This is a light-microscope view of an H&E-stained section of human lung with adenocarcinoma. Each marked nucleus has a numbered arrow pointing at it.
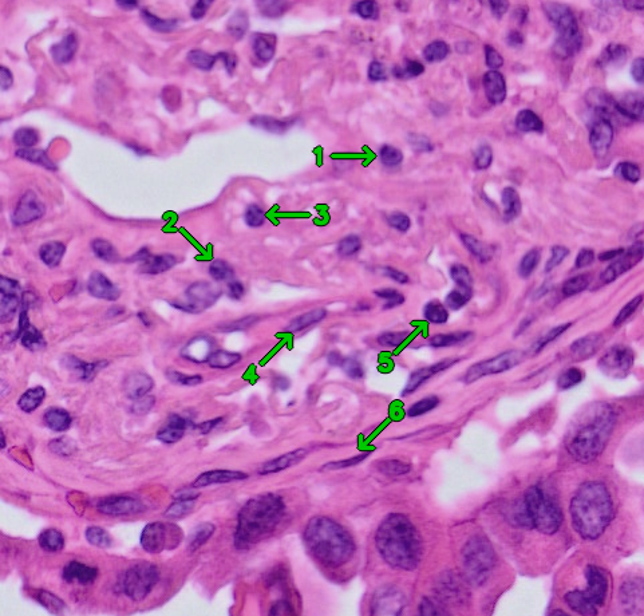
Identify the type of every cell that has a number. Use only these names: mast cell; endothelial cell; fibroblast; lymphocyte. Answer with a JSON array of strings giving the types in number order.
["lymphocyte", "lymphocyte", "lymphocyte", "endothelial cell", "lymphocyte", "fibroblast"]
